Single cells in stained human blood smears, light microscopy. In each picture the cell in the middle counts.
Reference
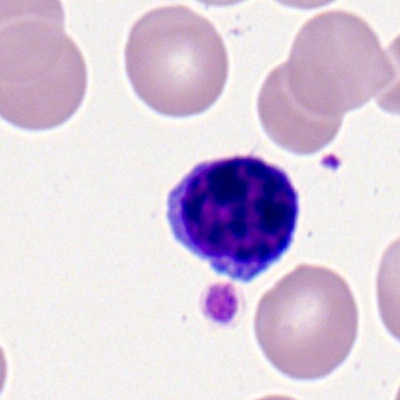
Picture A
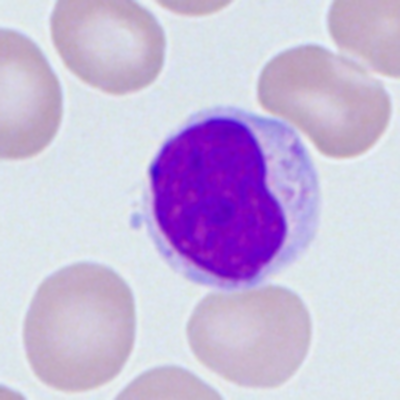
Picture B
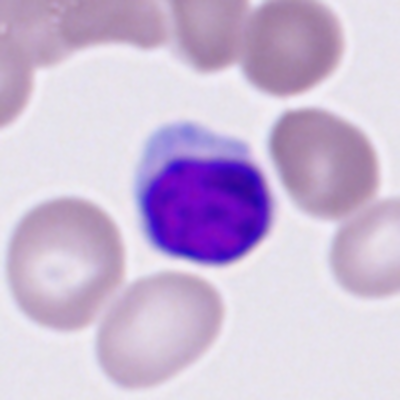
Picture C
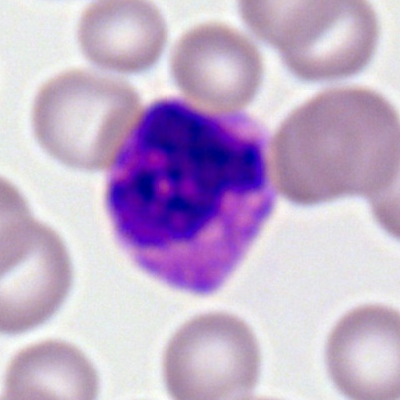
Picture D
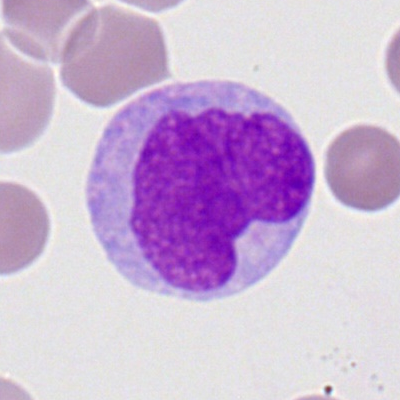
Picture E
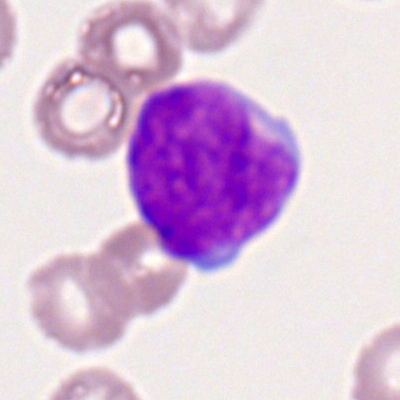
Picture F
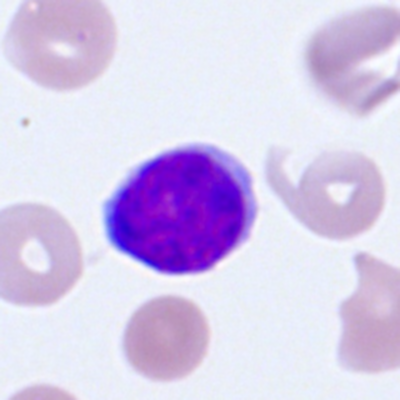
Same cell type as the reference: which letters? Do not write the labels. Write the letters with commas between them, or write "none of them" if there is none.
A, B, F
